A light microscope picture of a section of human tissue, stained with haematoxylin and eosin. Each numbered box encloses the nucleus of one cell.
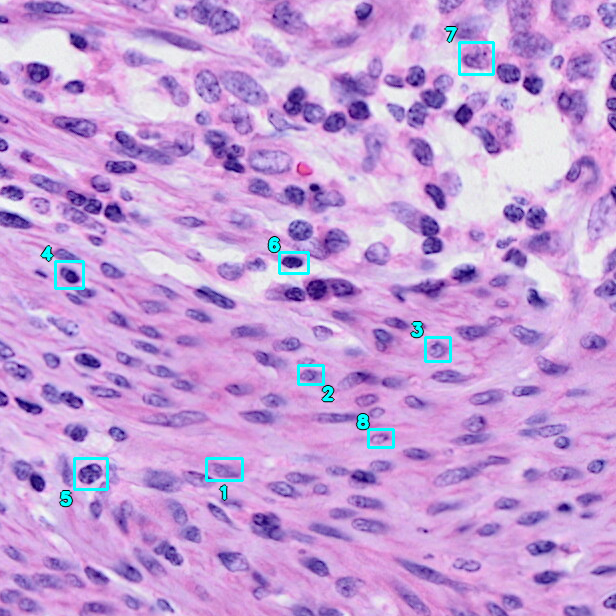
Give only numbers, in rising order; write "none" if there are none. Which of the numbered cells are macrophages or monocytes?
7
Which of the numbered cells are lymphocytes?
4, 5, 6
